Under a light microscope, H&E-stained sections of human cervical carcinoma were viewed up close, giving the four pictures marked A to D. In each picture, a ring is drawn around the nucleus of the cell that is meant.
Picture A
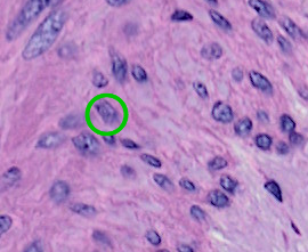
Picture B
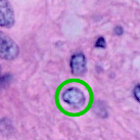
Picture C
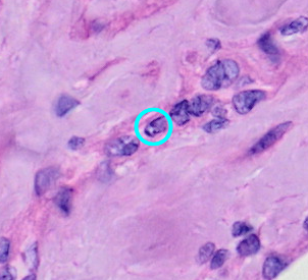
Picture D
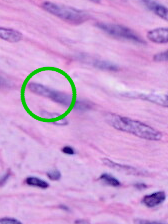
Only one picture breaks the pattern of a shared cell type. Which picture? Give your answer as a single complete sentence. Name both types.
The different one is picture C; it shows an endothelial cell, whereas all the others show smooth muscle cells.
